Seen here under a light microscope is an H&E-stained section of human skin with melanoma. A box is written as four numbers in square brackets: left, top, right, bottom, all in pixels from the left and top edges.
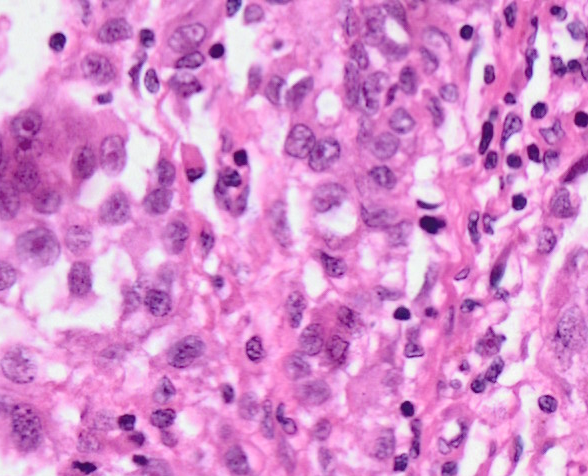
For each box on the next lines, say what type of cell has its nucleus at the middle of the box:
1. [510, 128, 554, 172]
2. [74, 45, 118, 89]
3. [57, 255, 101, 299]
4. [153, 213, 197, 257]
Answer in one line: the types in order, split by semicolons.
lymphocyte; melanoma cell; melanoma cell; melanoma cell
